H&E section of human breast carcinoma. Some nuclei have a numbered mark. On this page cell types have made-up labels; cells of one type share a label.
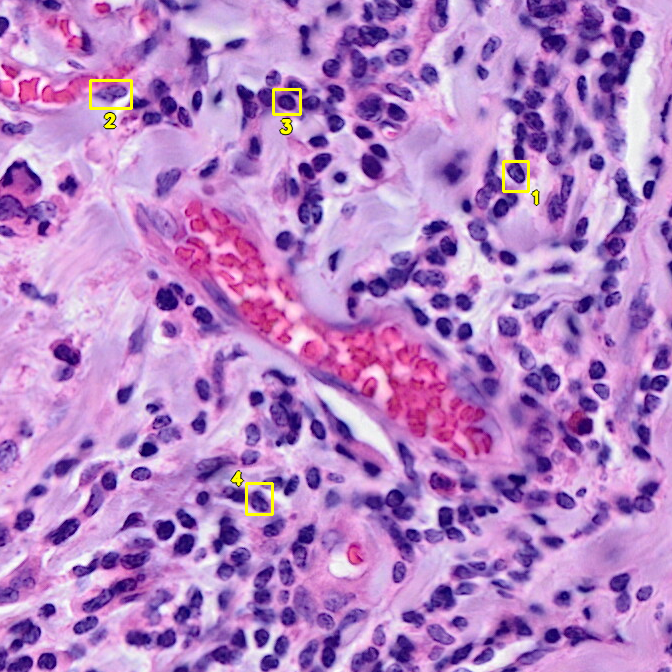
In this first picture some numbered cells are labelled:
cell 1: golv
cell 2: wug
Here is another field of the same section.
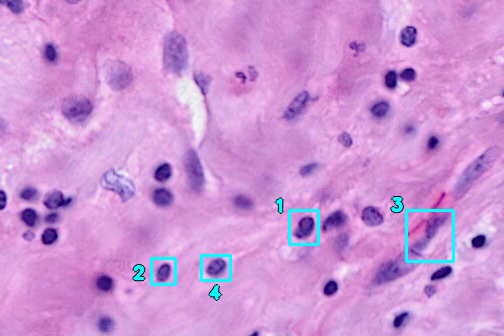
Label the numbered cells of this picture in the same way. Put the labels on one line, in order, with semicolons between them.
golv; golv; wug; golv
